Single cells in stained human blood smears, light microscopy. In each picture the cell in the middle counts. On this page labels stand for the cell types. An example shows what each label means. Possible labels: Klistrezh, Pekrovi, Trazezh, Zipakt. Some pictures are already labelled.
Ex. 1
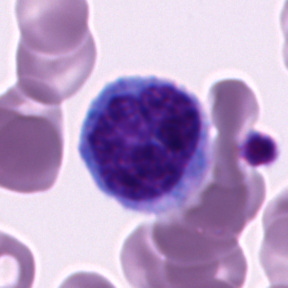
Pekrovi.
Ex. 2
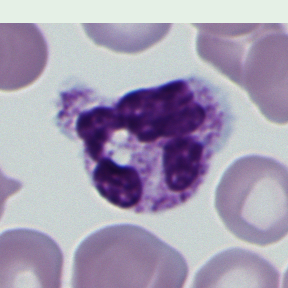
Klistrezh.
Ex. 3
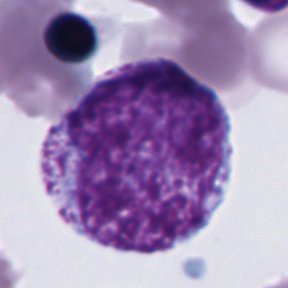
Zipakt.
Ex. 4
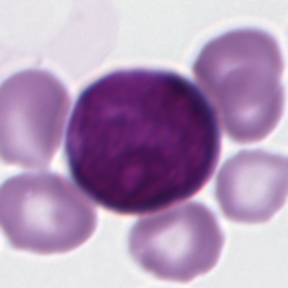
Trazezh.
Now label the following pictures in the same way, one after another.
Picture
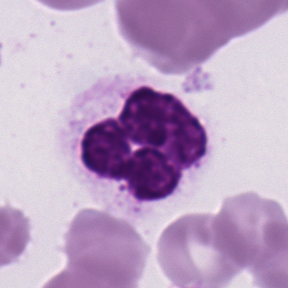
Klistrezh.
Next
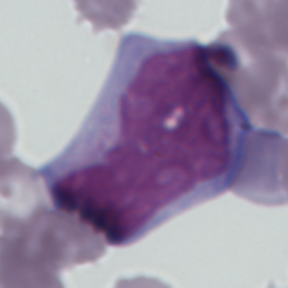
Trazezh.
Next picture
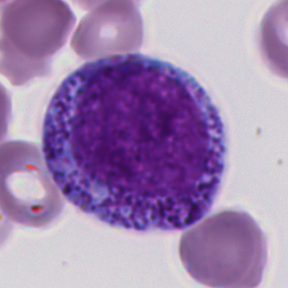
Zipakt.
